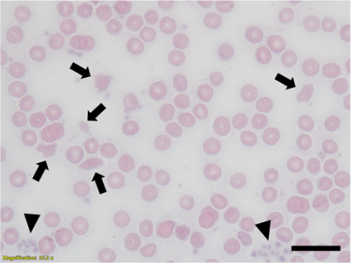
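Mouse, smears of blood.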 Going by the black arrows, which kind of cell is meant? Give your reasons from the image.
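The arrows point to small, irregular red cell fragments. These fragments lack the round disc shape of the surrounding red cells. The answer: schistocytes.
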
